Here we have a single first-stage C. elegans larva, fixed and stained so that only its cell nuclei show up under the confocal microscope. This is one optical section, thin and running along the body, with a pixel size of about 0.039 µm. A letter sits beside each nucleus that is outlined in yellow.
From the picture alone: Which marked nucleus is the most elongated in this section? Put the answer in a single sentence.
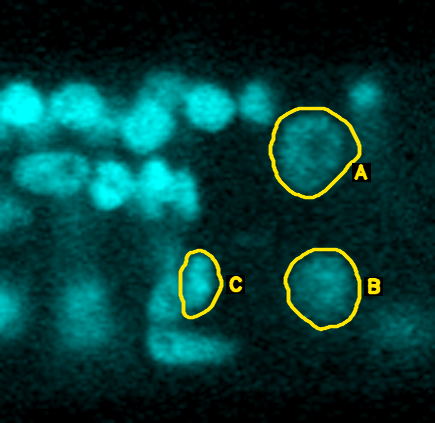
C is the most elongated in this section.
